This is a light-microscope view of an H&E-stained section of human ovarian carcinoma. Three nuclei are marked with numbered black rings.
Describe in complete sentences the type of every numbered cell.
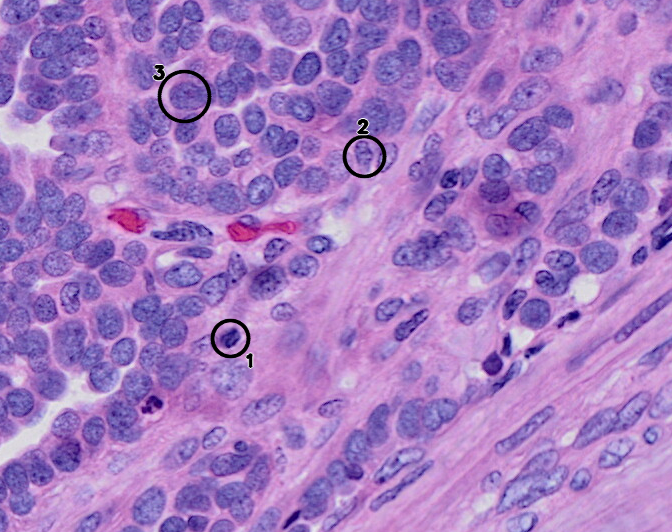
Cell 1 is a lymphocyte. Cell 2 is a macrophage or monocyte. Cell 3 is a carcinoma cell.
